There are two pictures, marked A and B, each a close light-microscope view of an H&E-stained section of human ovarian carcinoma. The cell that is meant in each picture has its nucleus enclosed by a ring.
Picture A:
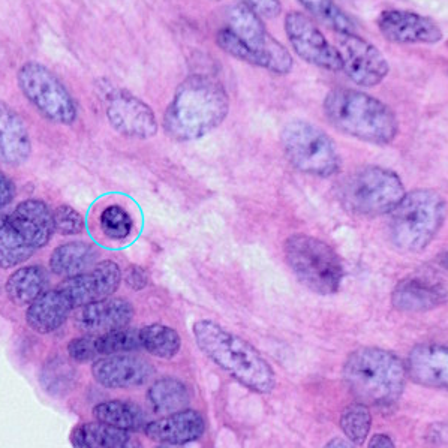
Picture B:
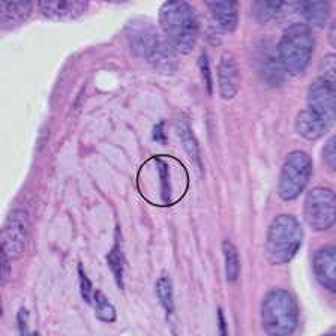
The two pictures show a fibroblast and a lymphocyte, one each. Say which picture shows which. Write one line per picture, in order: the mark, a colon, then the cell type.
A: lymphocyte
B: fibroblast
